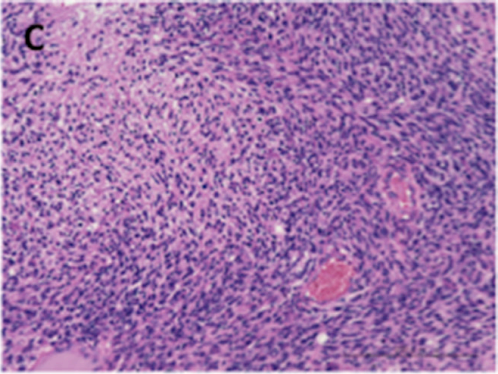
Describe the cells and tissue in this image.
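Small dark purple nuclei, many oval to elongated, are packed closely across the field with only thin strands of pink background between them. In places the cells run in streaming, roughly parallel bundles, and there is a somewhat paler, less dense zone in the upper middle. Only a few small vessels are seen, with pink walls or red blood cells inside. There is little loose background, and the overall impression is of crowded, monotonous tumor cells with sparse vessels.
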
